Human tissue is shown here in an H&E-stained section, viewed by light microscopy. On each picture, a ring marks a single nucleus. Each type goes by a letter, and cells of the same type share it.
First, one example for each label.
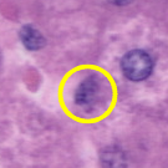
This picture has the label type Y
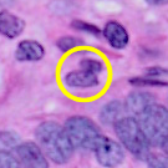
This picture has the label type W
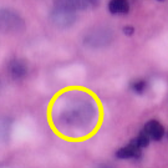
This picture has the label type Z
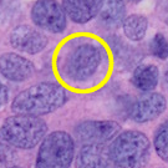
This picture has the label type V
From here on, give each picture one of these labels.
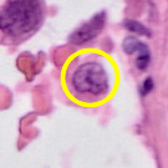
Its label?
type W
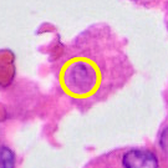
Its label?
type W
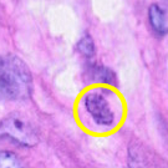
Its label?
type W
